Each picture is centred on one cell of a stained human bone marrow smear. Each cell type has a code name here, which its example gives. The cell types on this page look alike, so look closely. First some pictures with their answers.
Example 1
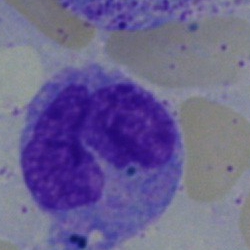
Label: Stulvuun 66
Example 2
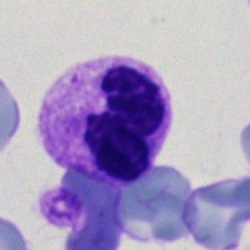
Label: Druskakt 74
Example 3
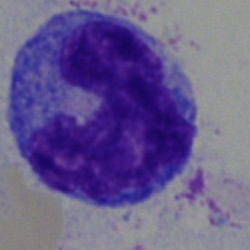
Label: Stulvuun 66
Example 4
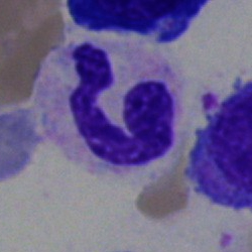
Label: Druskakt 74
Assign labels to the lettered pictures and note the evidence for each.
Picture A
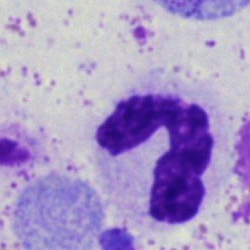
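Druskakt 74: The cytoplasm is abundant and pale lilac-grey.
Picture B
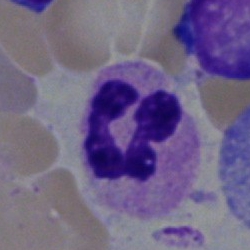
Druskakt 74: The cytoplasm is plentiful and pale pinkish-lilac.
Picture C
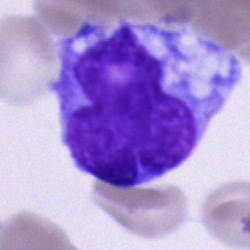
Stulvuun 66: The nucleus fills most of the cell and sits toward the lower left.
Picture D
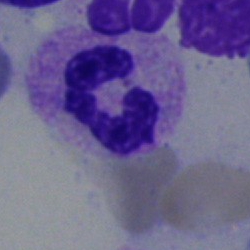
Druskakt 74: The cytoplasm is abundant and pale pinkish-lilac.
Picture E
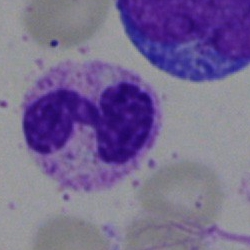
Druskakt 74: The cytoplasm is plentiful and pale pinkish-lilac.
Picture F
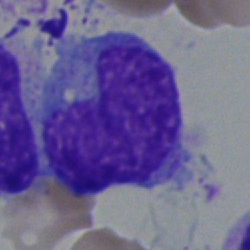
Stulvuun 66: The nucleus fills most of the cell, with the cytoplasm lying mainly on the upper left.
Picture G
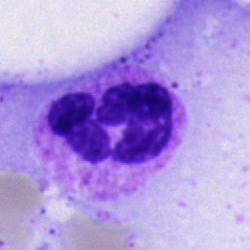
Druskakt 74: The cytoplasm holds many fine pinkish-violet granules spread evenly.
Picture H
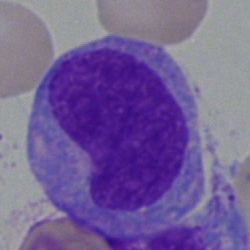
Stulvuun 66: The nucleus fills most of the cell and sits towards the upper right.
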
